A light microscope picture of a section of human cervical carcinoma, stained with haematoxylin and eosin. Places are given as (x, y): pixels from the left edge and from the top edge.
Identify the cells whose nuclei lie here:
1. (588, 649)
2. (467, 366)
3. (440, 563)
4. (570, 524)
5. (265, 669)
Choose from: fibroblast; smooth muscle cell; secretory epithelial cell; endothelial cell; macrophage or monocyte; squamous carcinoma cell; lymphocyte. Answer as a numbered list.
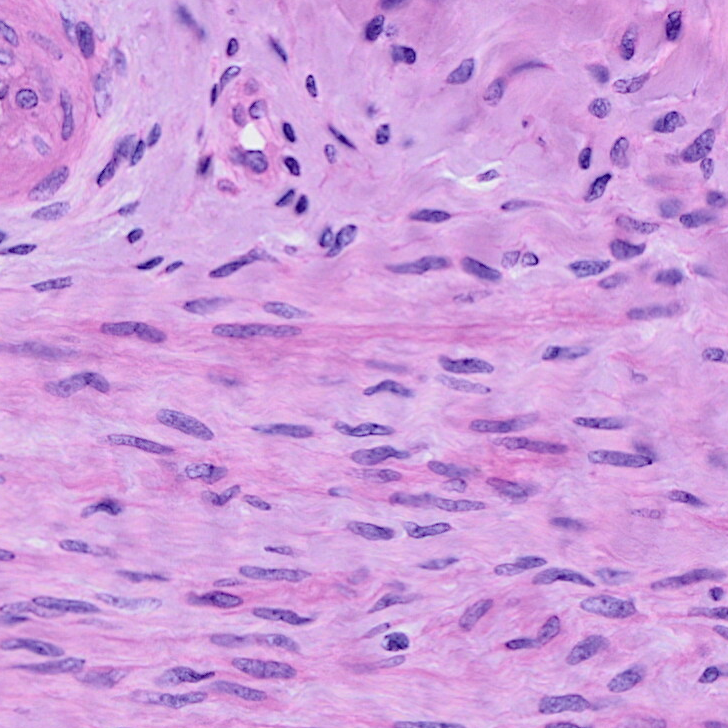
1. smooth muscle cell
2. fibroblast
3. fibroblast
4. fibroblast
5. smooth muscle cell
